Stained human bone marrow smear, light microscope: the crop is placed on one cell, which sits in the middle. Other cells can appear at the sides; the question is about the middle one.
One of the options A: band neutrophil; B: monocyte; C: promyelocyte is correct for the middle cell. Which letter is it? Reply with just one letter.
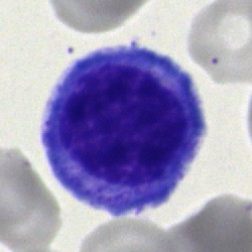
C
